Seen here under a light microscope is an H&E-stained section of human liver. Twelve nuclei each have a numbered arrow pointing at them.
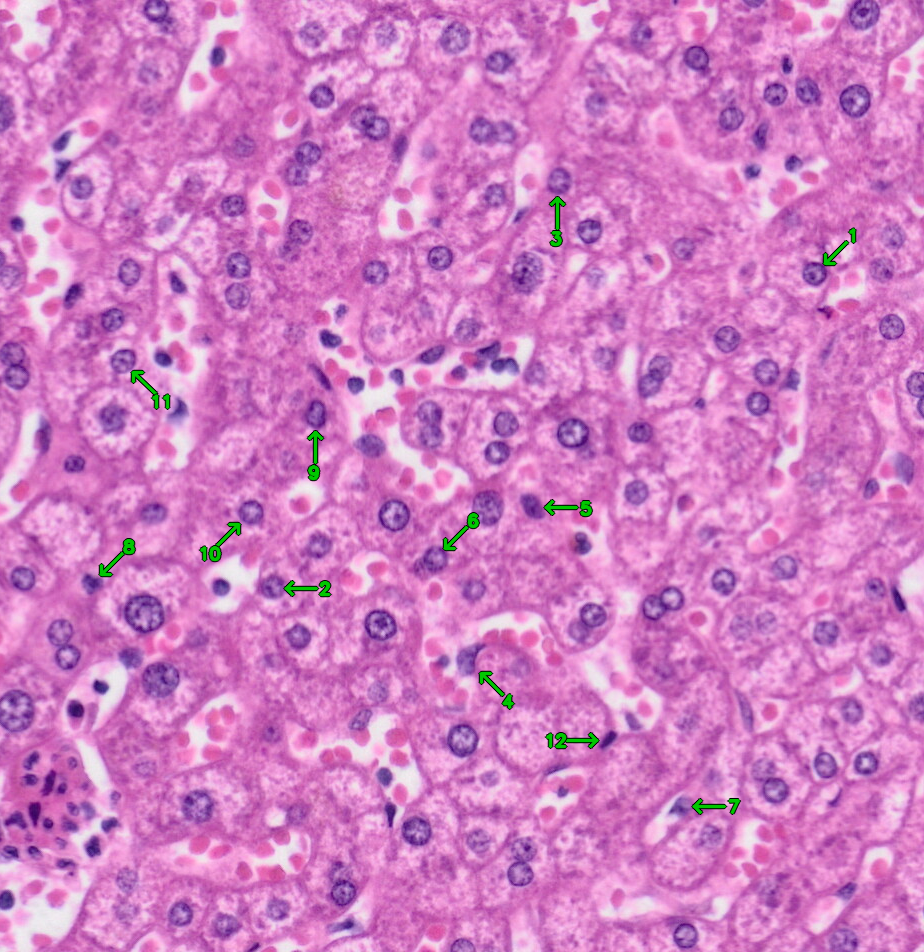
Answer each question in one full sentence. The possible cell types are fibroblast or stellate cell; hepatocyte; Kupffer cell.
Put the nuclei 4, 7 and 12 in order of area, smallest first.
From smallest to largest, the order is 12, 7, 4.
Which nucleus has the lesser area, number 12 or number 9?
The smaller nucleus is 12, and 9 covers roughly 3 times its area.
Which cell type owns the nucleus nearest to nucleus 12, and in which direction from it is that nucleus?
A Kupffer cell lies closest, above and to the right of nucleus 12.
